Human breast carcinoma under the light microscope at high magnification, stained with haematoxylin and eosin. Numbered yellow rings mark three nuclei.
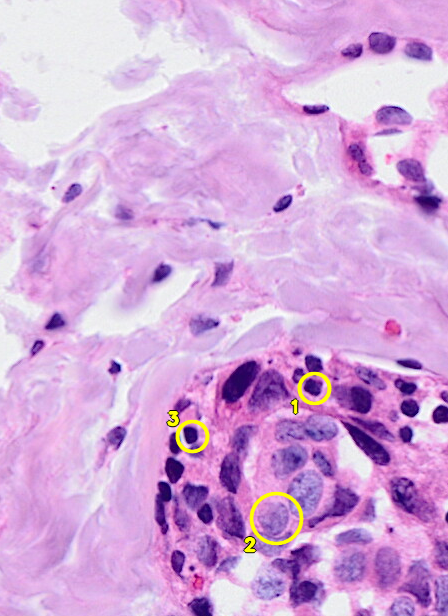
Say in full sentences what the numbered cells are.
Cells 1 and 3 are lymphocytes. Cell 2 is a carcinoma cell.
